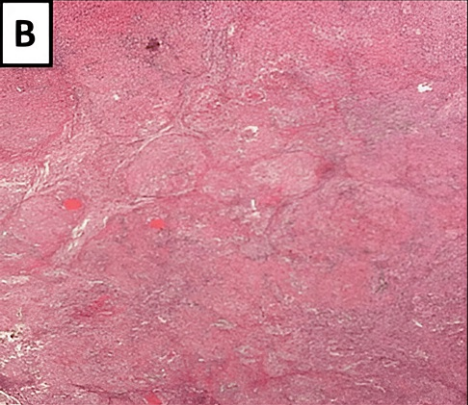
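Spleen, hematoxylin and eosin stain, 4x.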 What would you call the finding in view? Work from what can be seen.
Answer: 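Multinodular lesion. Several rounded nodules lie side by side across the field.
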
